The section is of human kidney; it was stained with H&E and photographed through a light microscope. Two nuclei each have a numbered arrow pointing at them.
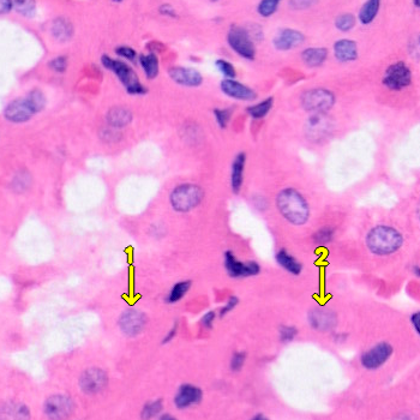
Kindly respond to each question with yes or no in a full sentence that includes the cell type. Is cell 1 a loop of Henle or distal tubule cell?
No, cell 1 is not a loop of Henle or distal tubule cell; it is a proximal tubule cell.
